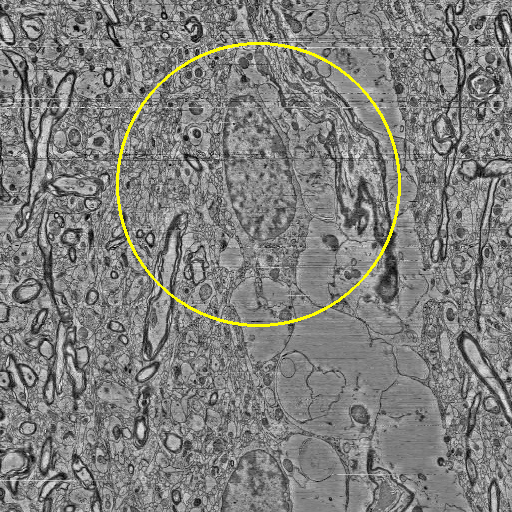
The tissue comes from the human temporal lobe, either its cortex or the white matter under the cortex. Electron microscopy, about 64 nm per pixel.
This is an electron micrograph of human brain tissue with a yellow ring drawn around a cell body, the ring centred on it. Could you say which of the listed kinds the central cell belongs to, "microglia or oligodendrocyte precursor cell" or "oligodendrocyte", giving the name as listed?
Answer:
oligodendrocyte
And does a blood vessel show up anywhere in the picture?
Yes, a blood vessel is present in this picture.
